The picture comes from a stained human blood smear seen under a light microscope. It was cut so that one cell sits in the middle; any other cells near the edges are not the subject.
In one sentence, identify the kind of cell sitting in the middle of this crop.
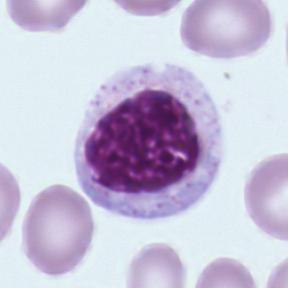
For this crop, the cell in the middle is a metamyelocyte.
